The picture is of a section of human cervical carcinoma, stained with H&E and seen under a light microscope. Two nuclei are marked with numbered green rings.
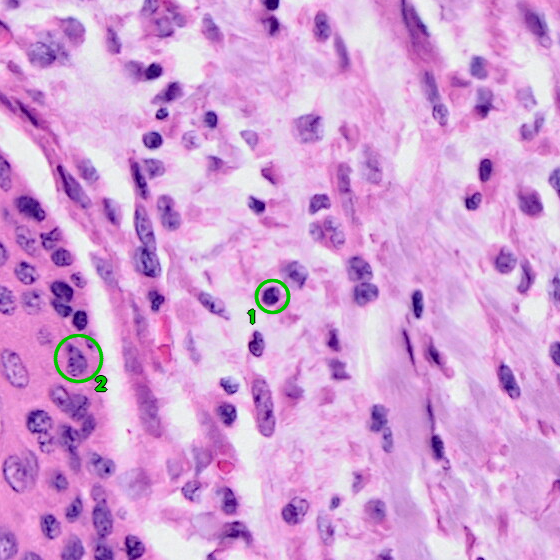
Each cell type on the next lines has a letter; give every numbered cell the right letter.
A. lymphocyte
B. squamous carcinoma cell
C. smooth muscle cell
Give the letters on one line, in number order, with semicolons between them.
A; B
